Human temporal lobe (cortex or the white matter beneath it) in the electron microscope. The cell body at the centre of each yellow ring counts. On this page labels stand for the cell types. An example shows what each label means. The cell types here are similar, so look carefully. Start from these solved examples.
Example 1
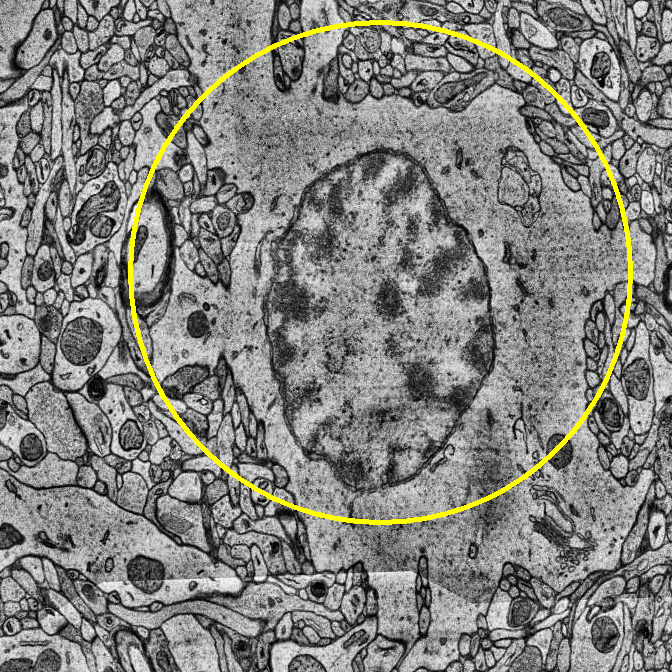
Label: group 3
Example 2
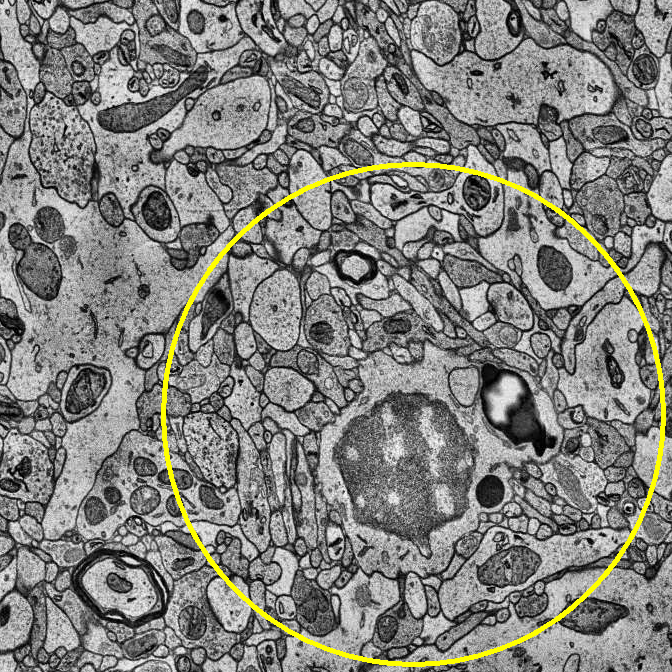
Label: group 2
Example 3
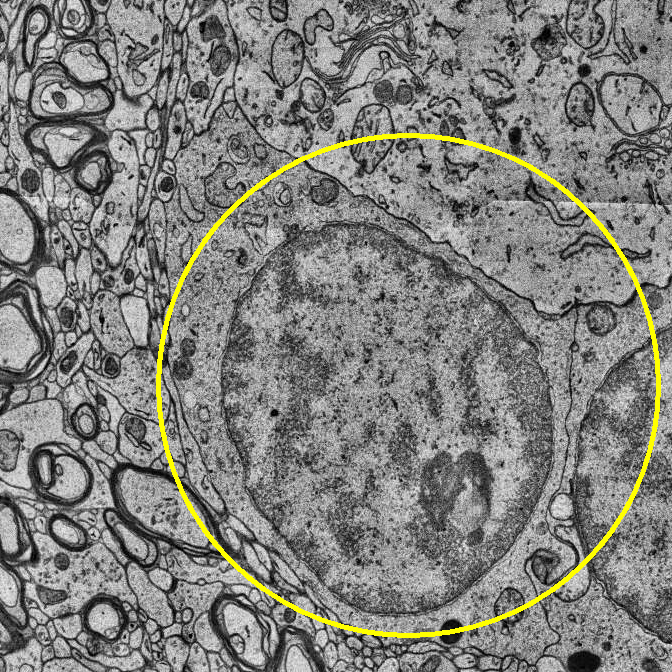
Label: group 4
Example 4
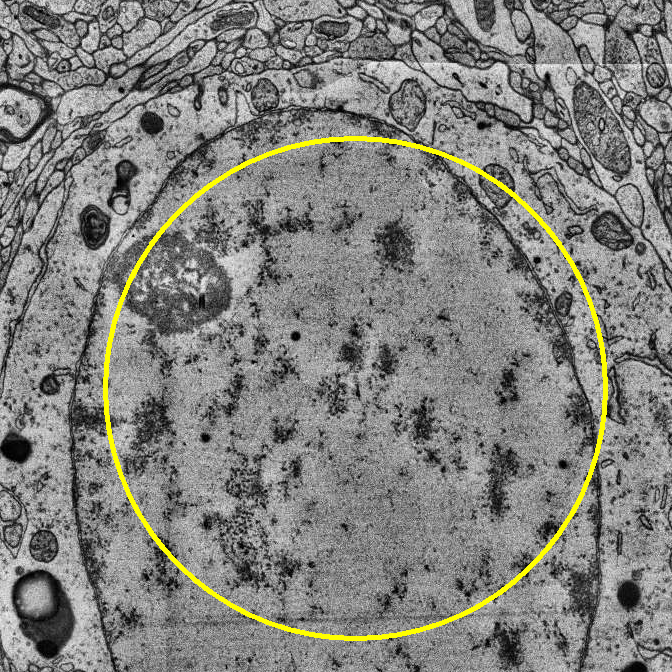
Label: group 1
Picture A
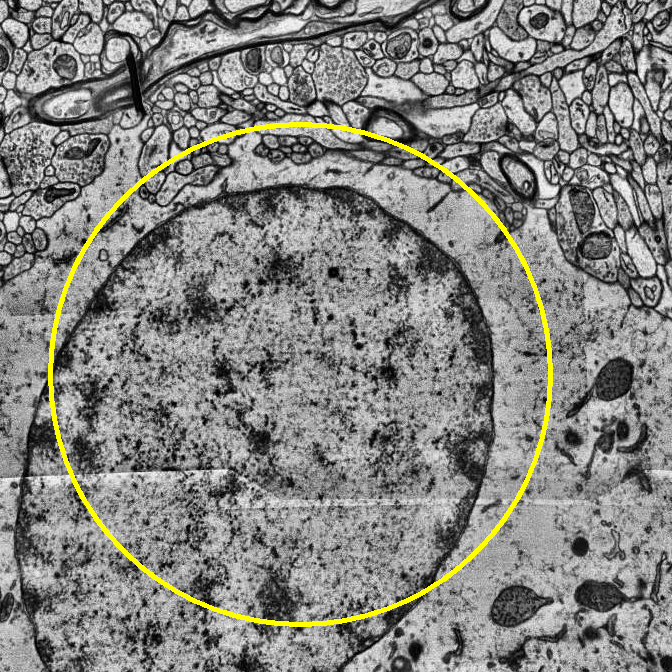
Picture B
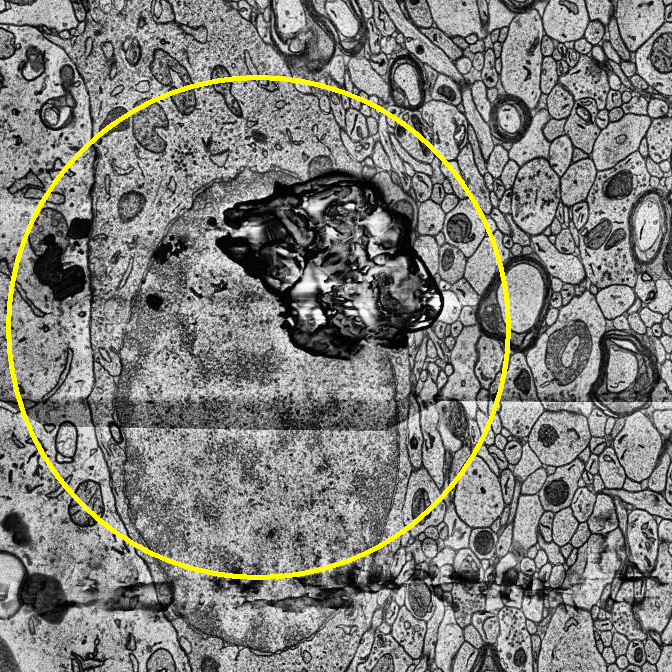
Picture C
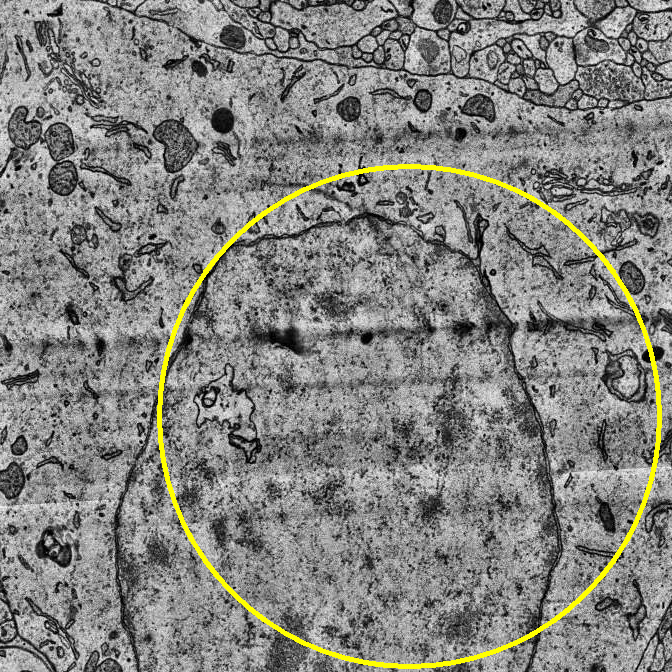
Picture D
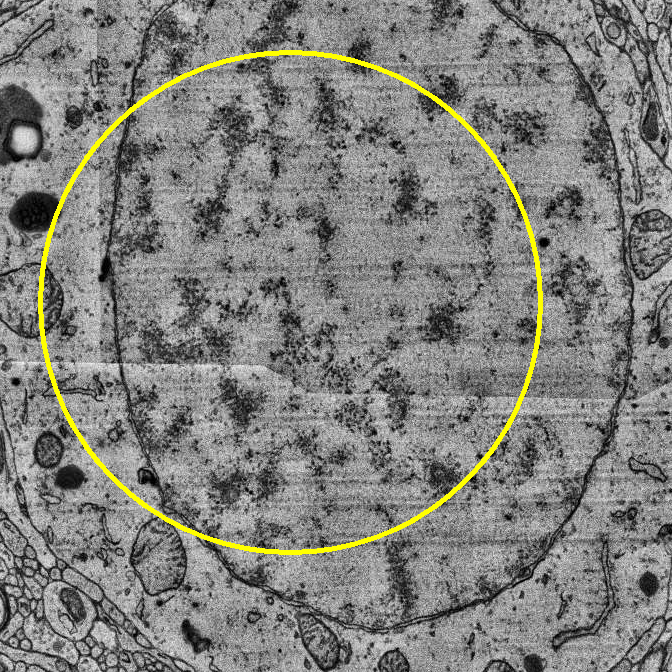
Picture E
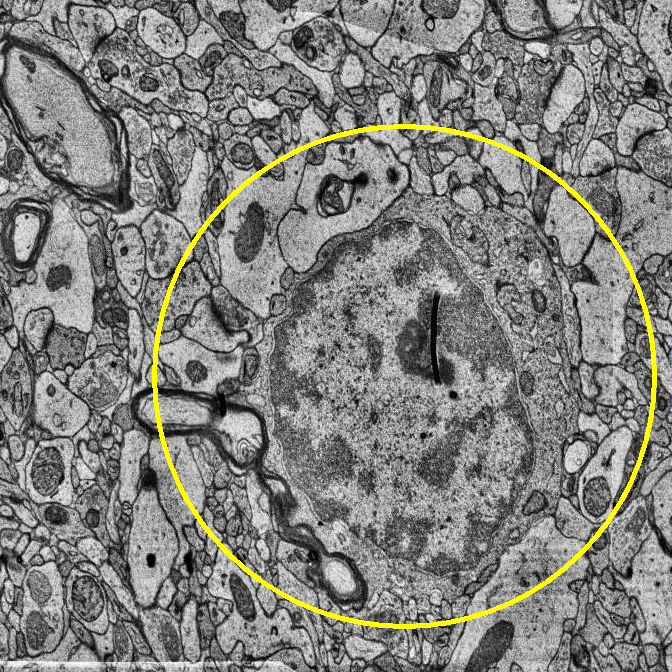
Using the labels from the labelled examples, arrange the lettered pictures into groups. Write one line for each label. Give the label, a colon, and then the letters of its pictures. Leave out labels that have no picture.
group 3: A
group 4: B, E
group 1: C, D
